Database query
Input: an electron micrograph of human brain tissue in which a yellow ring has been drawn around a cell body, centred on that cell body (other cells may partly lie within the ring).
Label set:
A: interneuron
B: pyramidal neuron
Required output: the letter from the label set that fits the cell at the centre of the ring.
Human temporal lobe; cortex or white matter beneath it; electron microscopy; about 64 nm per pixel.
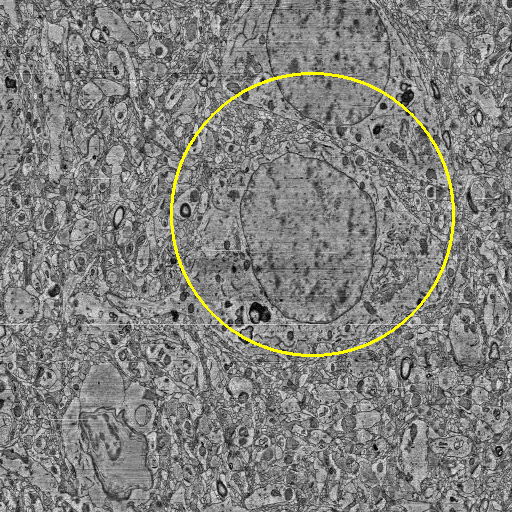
B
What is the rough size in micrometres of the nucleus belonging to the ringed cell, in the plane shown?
The ringed cell's nucleus is about 11 micrometres long and 9 micrometres wide in this plane.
